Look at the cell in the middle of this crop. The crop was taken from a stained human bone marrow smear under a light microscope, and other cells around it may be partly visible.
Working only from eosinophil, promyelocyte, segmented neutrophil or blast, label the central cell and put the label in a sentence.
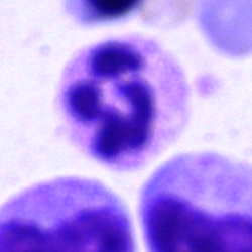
The centered cell in this crop is a segmented neutrophil.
